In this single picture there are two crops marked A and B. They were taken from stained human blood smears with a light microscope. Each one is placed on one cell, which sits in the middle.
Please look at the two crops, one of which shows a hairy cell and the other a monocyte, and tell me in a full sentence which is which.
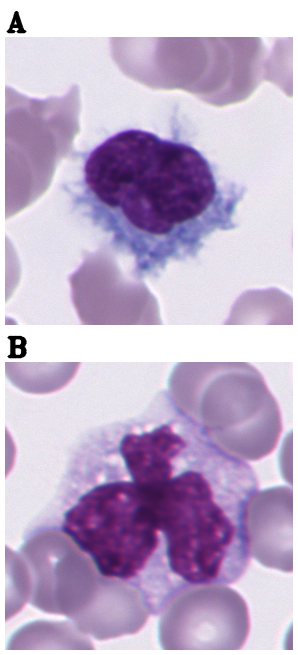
Recognised in crop A is a hairy cell, and recognised in crop B is a monocyte.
